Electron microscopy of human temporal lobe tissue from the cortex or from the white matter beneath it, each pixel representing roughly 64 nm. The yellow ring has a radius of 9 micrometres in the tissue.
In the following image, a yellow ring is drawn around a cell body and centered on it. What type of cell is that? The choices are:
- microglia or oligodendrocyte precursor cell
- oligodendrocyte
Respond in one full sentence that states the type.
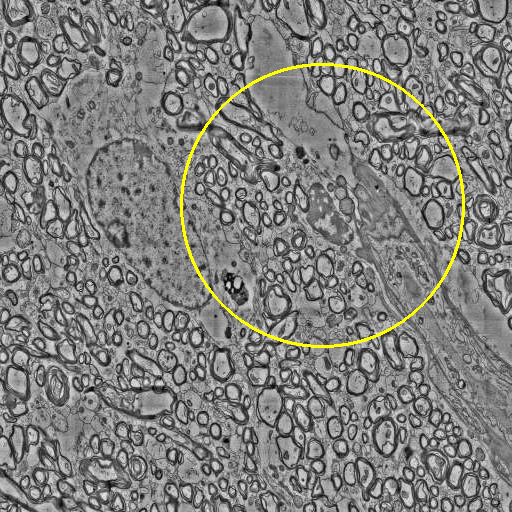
The cell at the center of the yellow ring in the image is a microglial cell or oligodendrocyte precursor cell.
